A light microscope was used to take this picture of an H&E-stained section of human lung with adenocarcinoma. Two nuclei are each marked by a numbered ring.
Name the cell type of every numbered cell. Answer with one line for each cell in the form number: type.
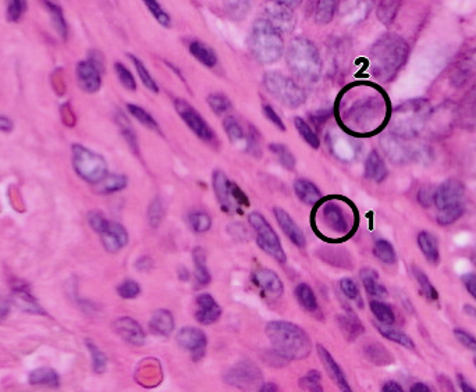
1: plasma cell
2: ciliated epithelial cell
